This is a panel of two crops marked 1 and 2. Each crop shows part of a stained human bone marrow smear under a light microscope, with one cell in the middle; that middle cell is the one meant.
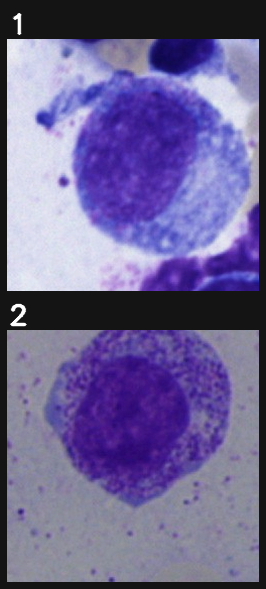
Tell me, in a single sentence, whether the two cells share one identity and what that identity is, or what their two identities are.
No, crop 1 is of a promyelocyte, and crop 2 is of a myelocyte.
